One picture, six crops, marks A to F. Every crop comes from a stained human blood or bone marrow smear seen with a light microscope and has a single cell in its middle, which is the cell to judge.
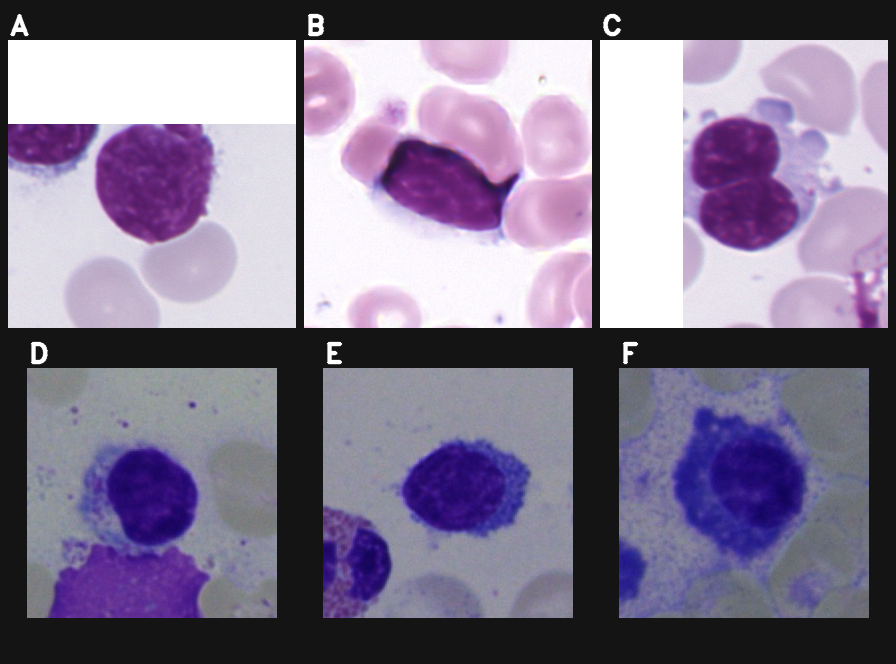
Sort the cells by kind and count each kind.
lymphocyte: 4
blast: 1
plasma cell: 1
